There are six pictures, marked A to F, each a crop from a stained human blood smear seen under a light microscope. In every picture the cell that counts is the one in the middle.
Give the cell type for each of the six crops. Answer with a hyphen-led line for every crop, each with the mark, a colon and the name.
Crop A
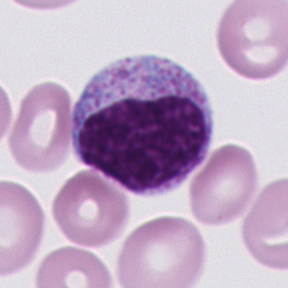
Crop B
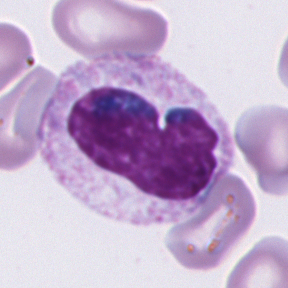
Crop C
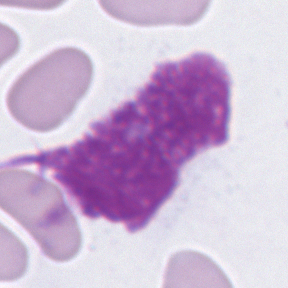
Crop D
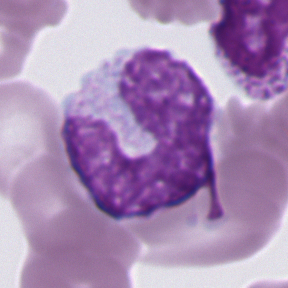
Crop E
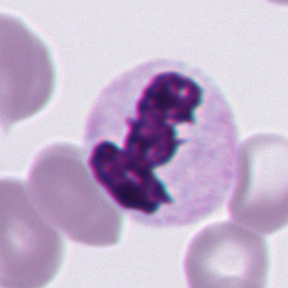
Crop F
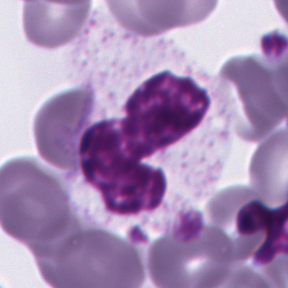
- A: metamyelocyte
- B: band neutrophil
- C: smudge cell
- D: band neutrophil
- E: segmented neutrophil
- F: band neutrophil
